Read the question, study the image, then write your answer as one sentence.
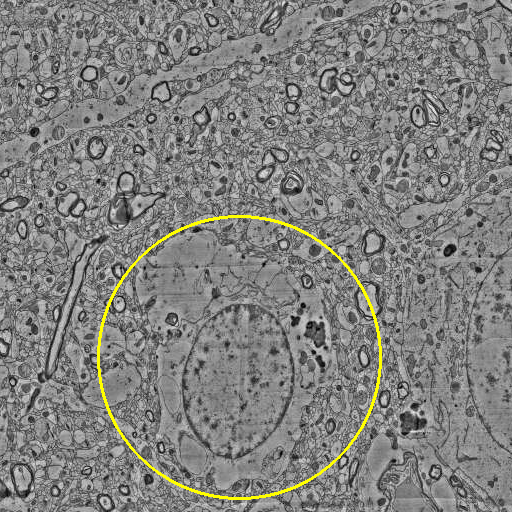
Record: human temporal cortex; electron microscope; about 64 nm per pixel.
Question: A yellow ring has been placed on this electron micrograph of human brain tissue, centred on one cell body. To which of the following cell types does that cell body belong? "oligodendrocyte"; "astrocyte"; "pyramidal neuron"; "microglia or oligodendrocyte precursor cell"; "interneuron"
That cell body belongs to an astrocyte.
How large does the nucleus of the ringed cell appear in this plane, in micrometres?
About 10 by 7 micrometers, in this plane.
